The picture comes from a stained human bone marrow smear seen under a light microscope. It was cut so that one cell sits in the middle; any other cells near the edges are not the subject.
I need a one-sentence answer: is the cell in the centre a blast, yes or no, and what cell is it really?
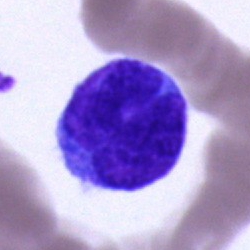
Yes, the central cell here is a blast.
